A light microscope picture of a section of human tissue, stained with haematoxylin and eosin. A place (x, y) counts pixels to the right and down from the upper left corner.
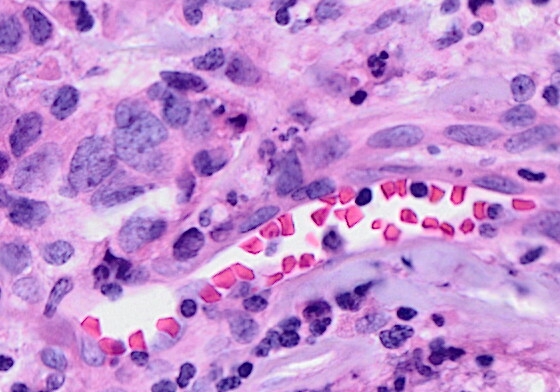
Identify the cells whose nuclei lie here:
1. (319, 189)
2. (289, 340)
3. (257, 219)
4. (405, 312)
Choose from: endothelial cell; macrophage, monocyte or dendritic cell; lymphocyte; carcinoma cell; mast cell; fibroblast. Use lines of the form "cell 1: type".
cell 1: endothelial cell
cell 2: lymphocyte
cell 3: endothelial cell
cell 4: lymphocyte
